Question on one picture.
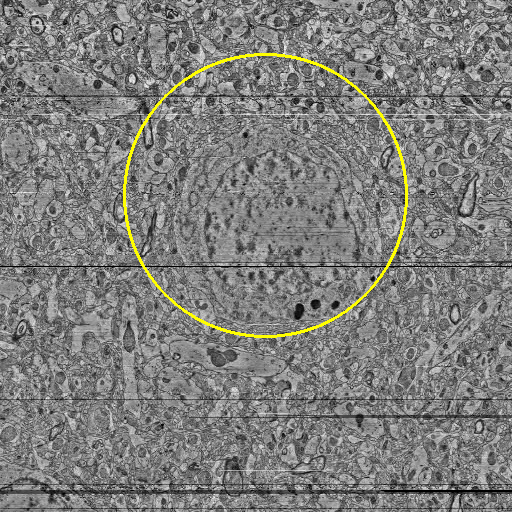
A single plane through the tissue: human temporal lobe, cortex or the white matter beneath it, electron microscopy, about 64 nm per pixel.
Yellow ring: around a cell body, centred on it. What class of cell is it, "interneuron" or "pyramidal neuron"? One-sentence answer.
This is an interneuron, the cell the ring is centred on.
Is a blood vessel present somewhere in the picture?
No, there is no blood vessel.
